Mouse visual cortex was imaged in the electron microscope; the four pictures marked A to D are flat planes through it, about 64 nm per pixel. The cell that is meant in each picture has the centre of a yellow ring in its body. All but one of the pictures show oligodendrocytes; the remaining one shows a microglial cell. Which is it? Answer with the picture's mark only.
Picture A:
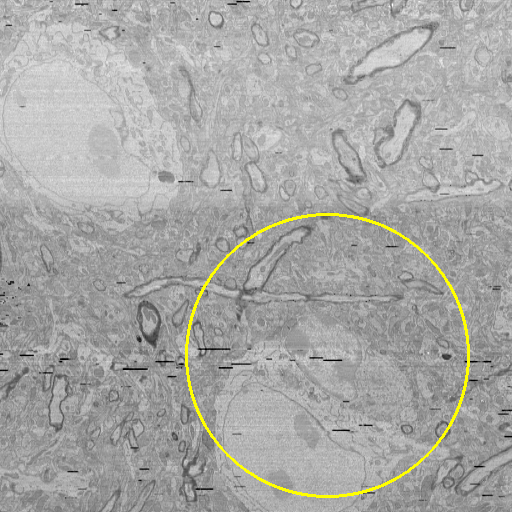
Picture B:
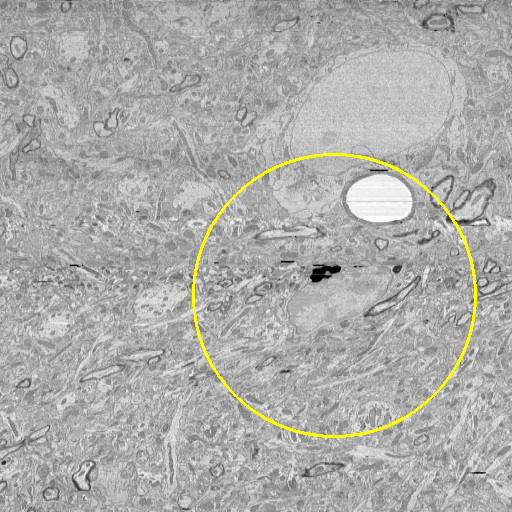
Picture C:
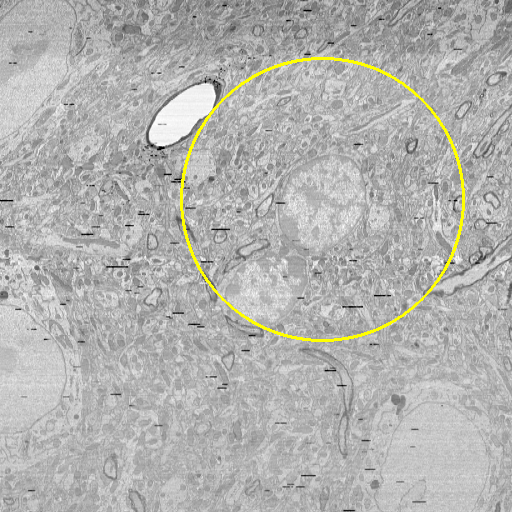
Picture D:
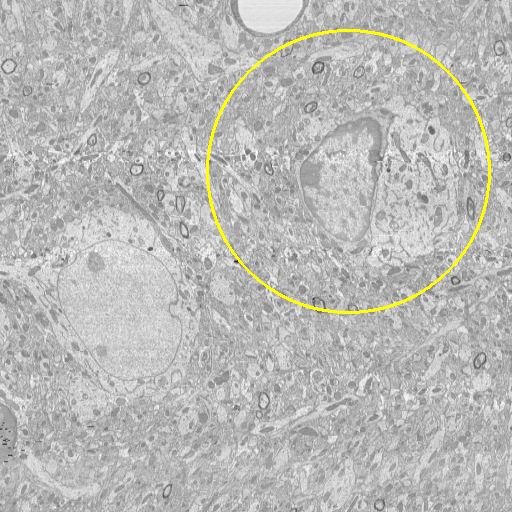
B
